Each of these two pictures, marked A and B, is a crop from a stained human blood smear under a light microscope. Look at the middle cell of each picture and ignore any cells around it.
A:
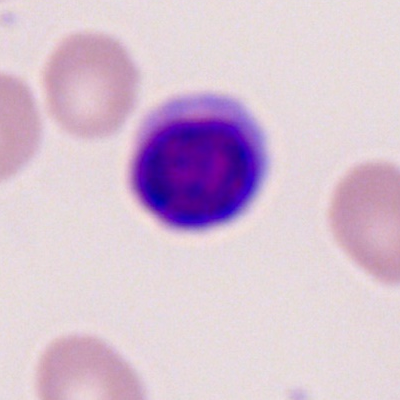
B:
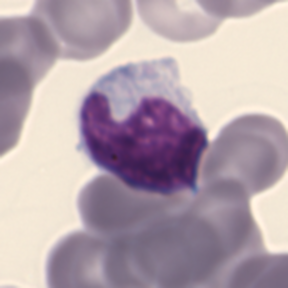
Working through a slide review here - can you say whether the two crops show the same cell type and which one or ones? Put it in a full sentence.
Yes, both crops are centred on lymphocytes.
